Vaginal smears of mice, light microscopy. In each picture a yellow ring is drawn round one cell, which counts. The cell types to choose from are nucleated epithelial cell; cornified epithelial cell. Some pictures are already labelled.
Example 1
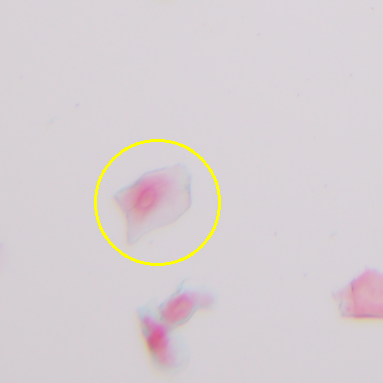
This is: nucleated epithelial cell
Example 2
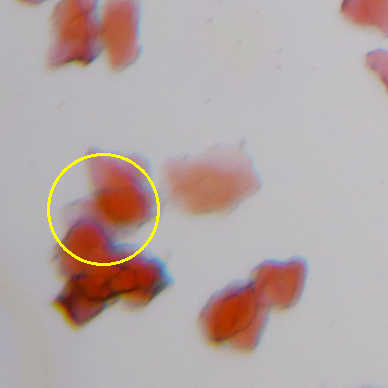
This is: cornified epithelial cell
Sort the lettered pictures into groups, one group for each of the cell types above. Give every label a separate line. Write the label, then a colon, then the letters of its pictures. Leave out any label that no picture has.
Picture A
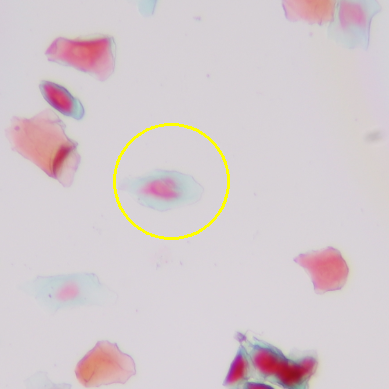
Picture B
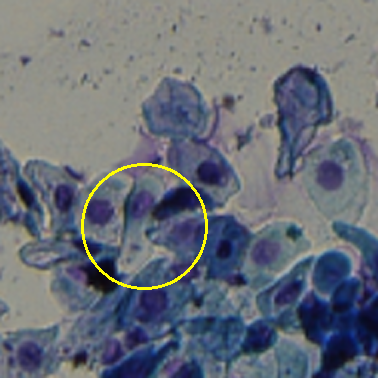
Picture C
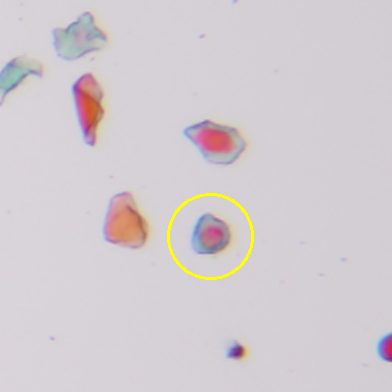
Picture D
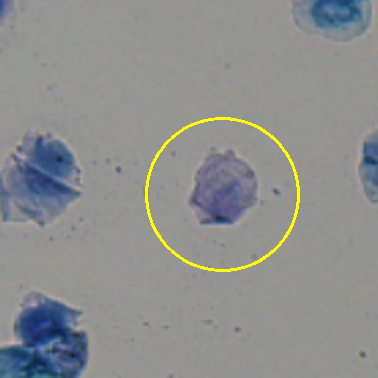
nucleated epithelial cell: A, B, C
cornified epithelial cell: D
